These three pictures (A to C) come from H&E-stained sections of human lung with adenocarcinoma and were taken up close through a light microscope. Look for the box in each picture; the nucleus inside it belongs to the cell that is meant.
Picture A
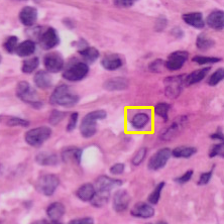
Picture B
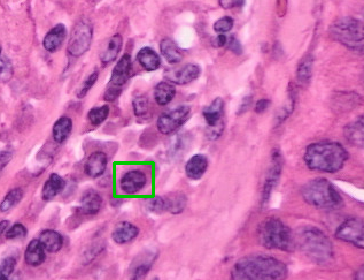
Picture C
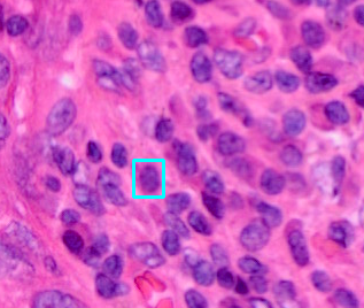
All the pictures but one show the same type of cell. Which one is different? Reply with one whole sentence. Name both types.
Picture A differs, because its cell is a lymphocyte and the rest are plasma cells.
